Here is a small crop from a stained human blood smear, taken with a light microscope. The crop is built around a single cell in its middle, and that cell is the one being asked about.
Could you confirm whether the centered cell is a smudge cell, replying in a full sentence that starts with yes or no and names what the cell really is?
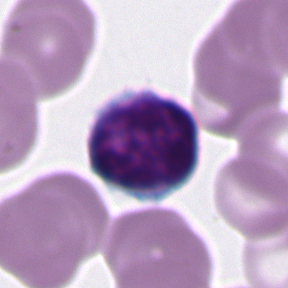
No, the middle cell is classified as a typical lymphocyte and not as a smudge cell.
